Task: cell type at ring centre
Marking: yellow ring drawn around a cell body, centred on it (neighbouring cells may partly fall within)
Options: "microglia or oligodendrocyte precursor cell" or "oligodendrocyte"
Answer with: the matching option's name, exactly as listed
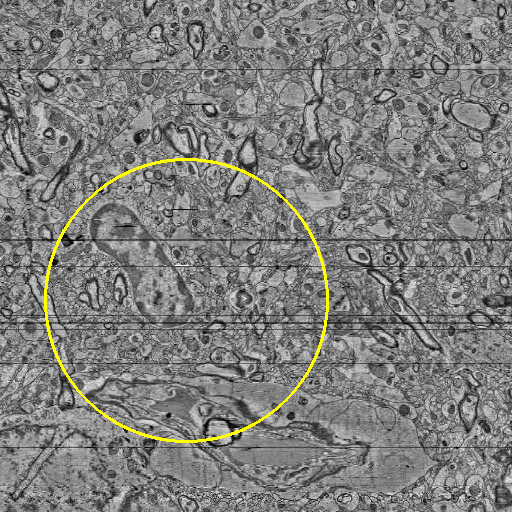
microglia or oligodendrocyte precursor cell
